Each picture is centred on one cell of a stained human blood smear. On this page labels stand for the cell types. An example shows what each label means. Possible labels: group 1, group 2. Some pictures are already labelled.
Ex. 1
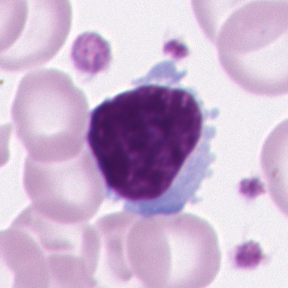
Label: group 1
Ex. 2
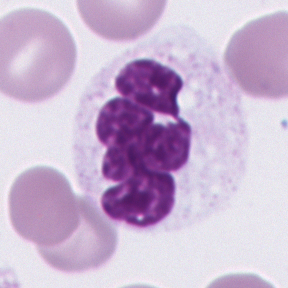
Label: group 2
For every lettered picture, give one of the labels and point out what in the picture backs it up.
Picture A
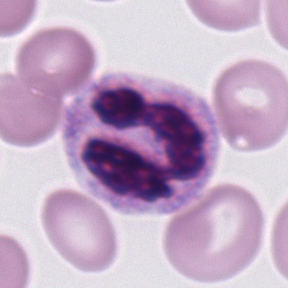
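group 2: The nucleus is a thick curved band bent into a horseshoe that opens toward the left.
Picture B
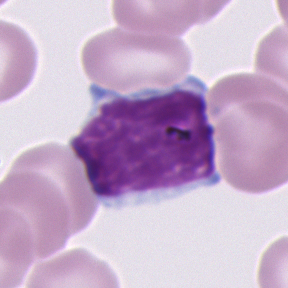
group 1: The cytoplasm forms only a thin rim around the nucleus.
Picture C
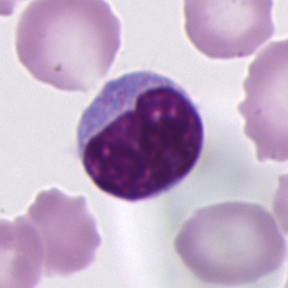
group 1: The nucleus fills most of the cell and sits toward the lower right.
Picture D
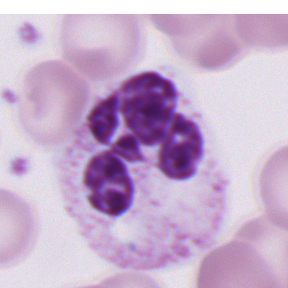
group 2: The cytoplasm is abundant and pale pinkish-lilac.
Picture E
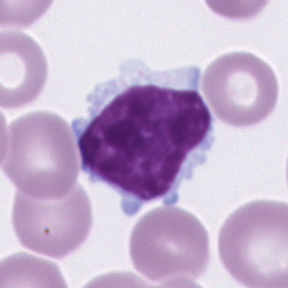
group 1: The cytoplasm forms only a scant rim around the nucleus.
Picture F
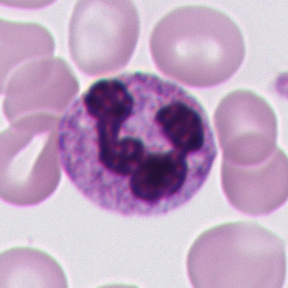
group 2: The cytoplasm is plentiful and pale pinkish-lilac.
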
